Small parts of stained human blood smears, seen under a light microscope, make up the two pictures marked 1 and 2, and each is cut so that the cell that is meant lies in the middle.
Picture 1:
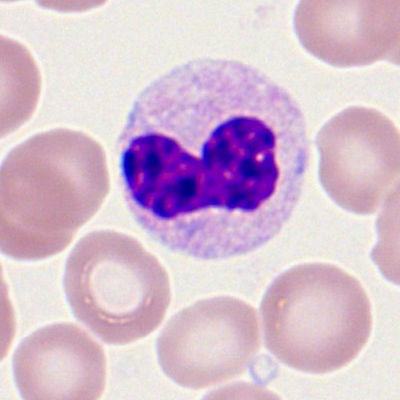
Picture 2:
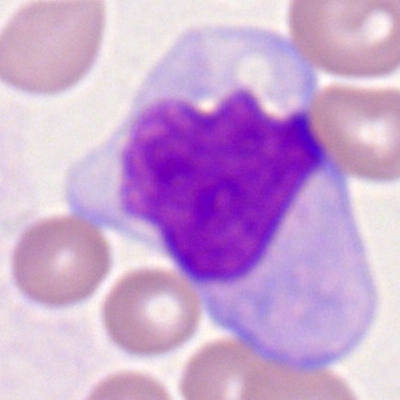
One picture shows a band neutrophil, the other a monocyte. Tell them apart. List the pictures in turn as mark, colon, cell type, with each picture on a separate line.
1: band neutrophil
2: monocyte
